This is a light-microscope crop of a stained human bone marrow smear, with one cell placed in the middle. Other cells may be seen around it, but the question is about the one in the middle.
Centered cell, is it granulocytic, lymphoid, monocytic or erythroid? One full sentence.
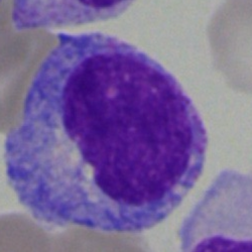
The cell in the middle is to be grouped with the granulocytic lineage.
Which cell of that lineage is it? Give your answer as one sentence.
The crop shows a promyelocyte in its centre.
